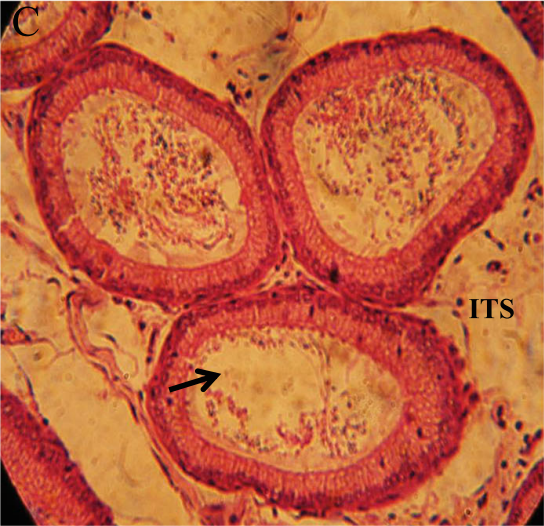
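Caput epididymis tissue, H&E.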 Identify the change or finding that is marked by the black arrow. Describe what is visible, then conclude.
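The arrowed tubule holds only sparse, scattered strands in a mostly pale lumen. The answer: less number of sperm in the lumen.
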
